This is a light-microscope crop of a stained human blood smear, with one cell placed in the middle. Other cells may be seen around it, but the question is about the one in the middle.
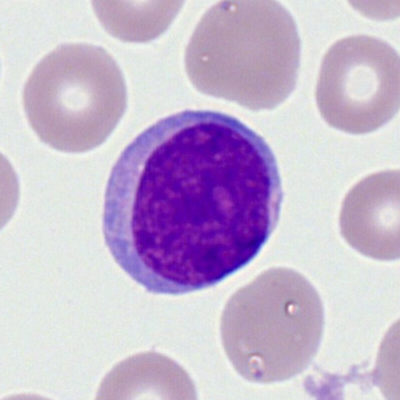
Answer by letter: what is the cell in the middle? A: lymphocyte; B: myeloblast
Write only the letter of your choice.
B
